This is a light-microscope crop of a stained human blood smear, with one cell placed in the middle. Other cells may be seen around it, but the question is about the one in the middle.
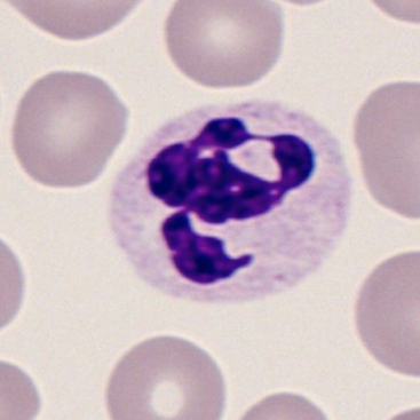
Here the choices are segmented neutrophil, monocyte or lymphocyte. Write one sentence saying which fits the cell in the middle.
Looking at the middle of the crop, the cell there is a segmented neutrophil.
